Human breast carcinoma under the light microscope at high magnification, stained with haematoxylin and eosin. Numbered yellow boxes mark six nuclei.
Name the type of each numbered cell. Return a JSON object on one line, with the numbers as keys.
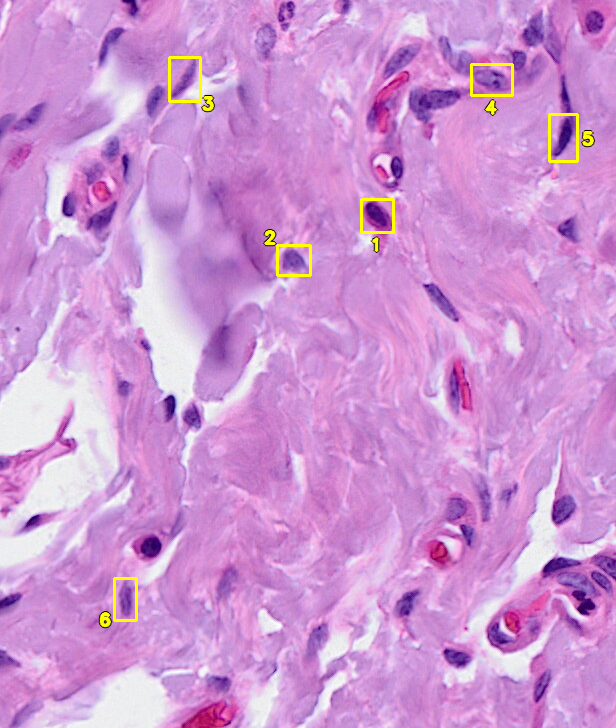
{"1": "mast cell", "2": "fibroblast", "3": "fibroblast", "4": "endothelial cell", "5": "fibroblast", "6": "fibroblast"}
